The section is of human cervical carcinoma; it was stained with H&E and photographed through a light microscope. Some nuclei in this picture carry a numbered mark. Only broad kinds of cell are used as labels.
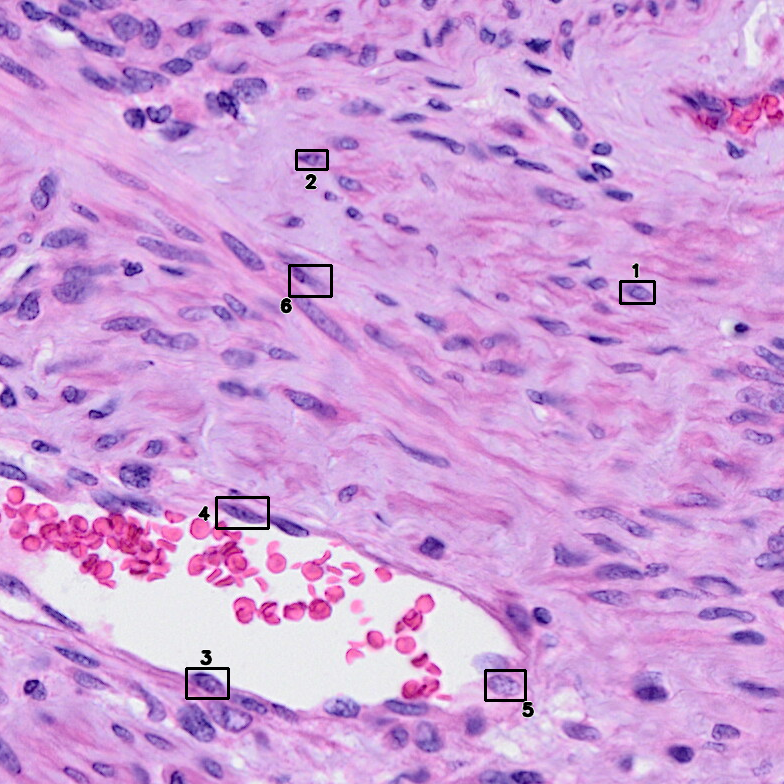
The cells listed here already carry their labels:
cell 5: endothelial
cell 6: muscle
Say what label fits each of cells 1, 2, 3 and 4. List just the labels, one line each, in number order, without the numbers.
muscle
muscle
endothelial
endothelial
